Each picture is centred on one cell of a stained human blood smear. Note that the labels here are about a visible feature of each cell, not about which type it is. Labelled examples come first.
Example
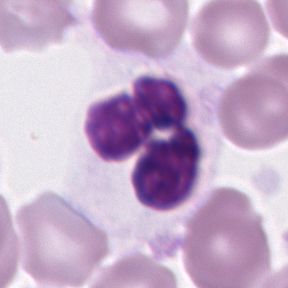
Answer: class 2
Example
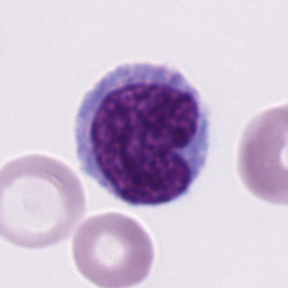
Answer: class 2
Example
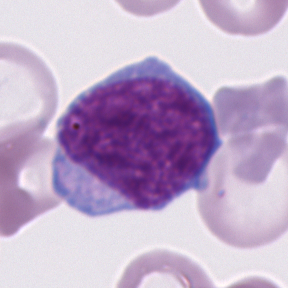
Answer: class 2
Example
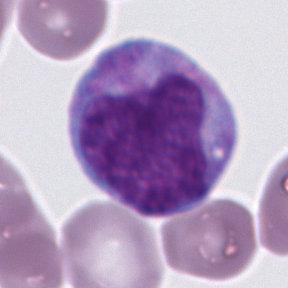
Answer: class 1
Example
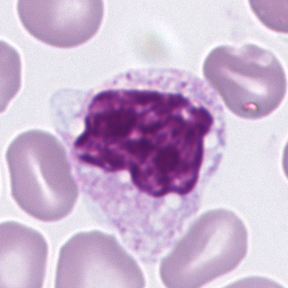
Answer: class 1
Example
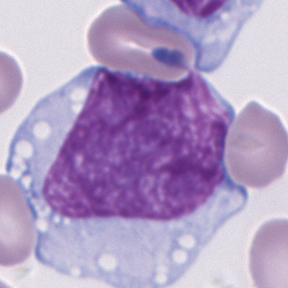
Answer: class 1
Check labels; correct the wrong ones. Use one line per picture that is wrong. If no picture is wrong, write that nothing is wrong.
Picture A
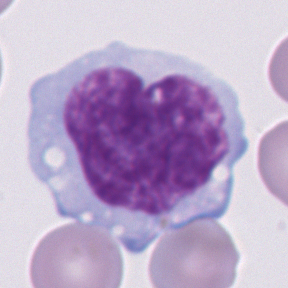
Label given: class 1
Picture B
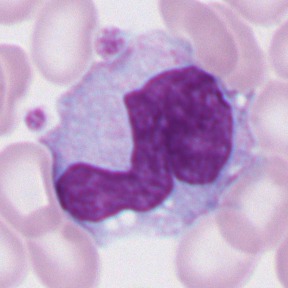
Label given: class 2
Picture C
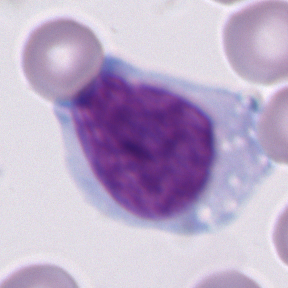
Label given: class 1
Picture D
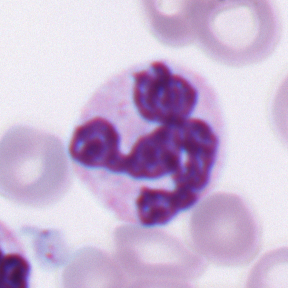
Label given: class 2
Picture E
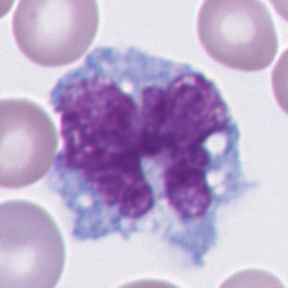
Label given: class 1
B should be class 1, not class 2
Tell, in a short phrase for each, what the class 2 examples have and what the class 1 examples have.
class 2, no vacuoles; class 1, vacuoles present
